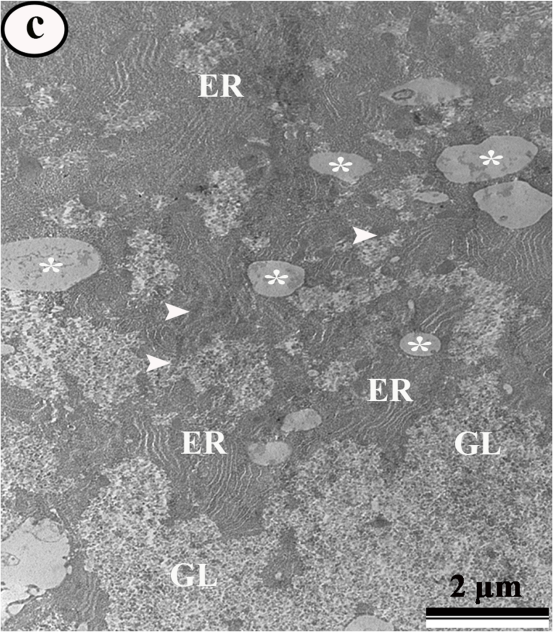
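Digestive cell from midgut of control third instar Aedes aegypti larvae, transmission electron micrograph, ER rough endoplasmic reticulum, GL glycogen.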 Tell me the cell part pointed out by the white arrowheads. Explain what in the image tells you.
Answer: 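Arrowheads point to small dense profiles lying among parallel membrane stacks. The profiles are small compared with the round grey bodies marked by asterisks. That points to this answer: mitochondria.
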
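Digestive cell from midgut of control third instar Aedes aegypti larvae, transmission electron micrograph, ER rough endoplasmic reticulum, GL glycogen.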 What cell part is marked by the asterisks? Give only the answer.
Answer: lipid droplets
